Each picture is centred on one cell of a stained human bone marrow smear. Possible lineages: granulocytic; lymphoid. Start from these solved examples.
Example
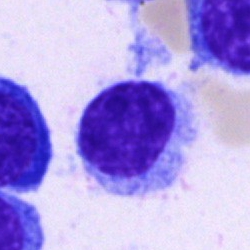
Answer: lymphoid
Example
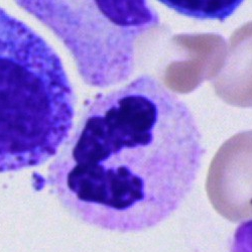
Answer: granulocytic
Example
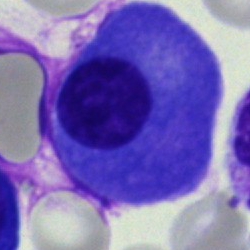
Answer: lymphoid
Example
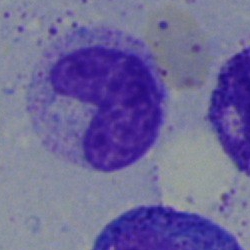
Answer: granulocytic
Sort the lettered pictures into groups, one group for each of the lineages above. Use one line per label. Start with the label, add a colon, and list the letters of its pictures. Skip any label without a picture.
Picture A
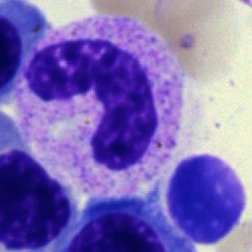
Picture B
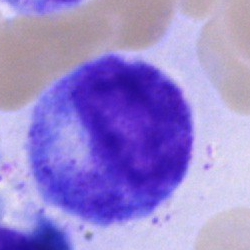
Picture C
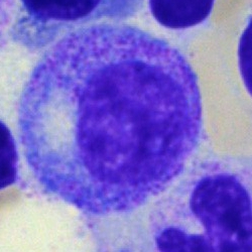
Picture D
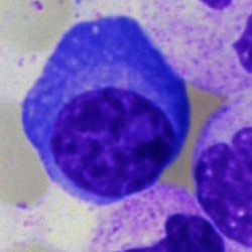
granulocytic: A, B, C
lymphoid: D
